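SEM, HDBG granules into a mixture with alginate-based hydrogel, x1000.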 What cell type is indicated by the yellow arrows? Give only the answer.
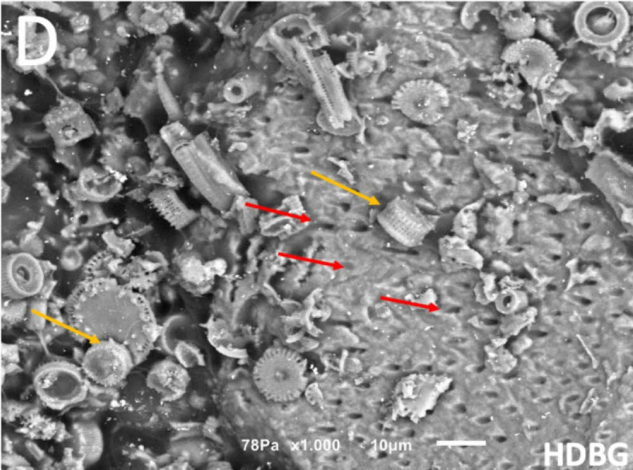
Diatoms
